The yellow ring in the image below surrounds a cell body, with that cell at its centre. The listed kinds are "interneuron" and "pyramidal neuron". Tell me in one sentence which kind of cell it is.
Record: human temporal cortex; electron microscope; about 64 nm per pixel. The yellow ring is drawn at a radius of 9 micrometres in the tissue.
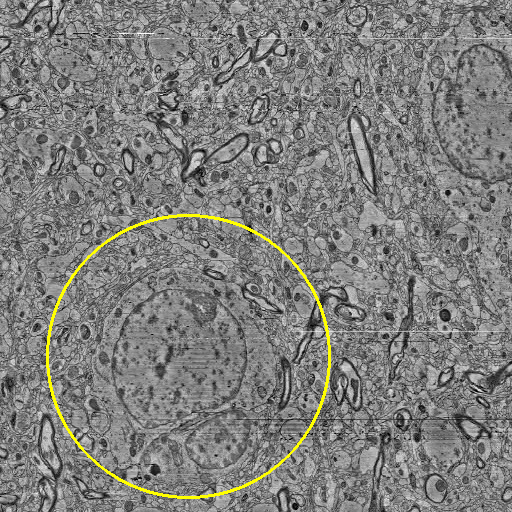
The centre of the ring holds an interneuron.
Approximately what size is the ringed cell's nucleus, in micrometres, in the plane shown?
Roughly 9 micrometres across, measured in this plane.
